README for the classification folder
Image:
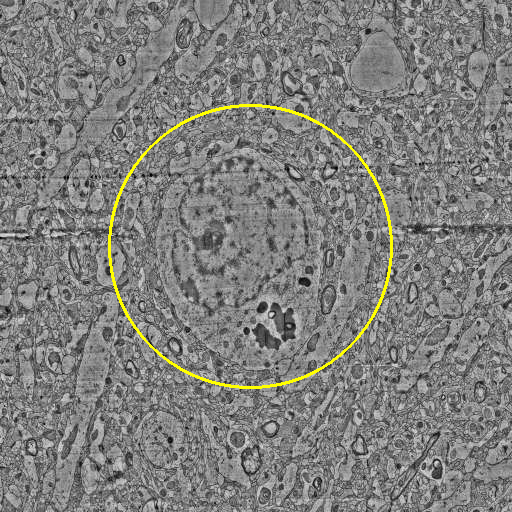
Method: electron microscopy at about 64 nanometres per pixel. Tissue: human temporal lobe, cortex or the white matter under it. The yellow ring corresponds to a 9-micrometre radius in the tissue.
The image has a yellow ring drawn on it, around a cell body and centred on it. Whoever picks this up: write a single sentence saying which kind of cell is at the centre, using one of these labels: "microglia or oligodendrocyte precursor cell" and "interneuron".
This cell body is that of an interneuron.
